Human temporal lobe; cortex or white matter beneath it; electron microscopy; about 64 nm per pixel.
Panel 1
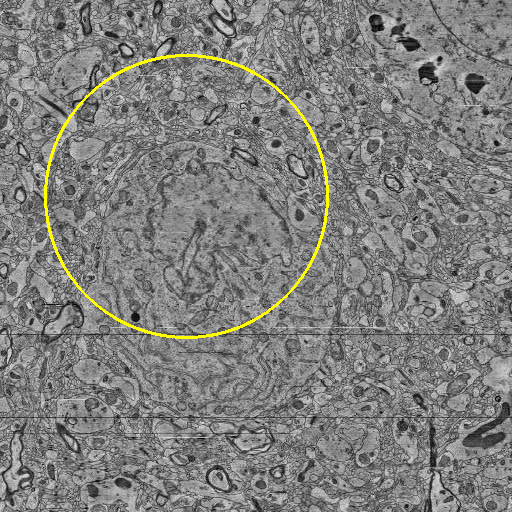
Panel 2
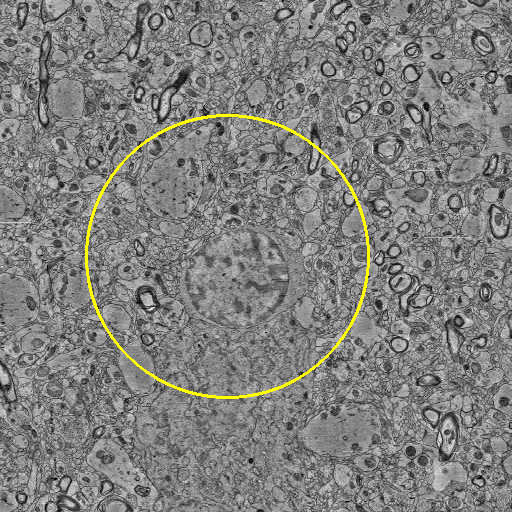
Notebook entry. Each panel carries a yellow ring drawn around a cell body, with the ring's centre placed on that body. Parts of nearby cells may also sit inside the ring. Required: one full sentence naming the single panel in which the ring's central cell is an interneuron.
Panel 1 is the single one with the sought cell at its ring's centre.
